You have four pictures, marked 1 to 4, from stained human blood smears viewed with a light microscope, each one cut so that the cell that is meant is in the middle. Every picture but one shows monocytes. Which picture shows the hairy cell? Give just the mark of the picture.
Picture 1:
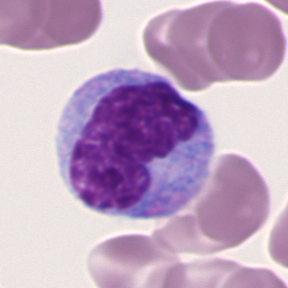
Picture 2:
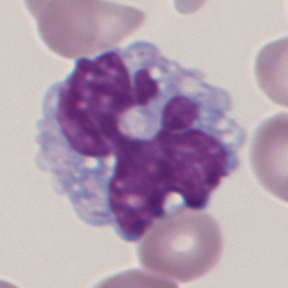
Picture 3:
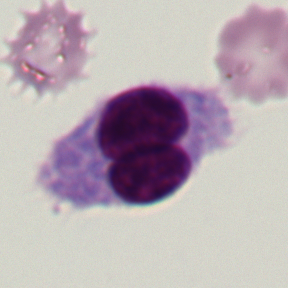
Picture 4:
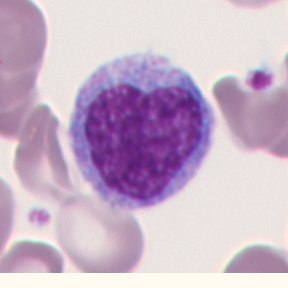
3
